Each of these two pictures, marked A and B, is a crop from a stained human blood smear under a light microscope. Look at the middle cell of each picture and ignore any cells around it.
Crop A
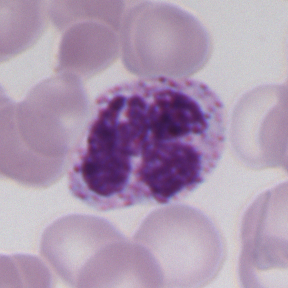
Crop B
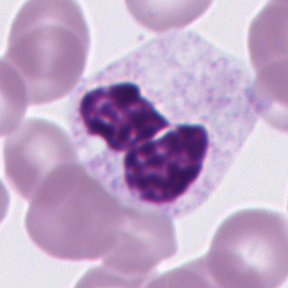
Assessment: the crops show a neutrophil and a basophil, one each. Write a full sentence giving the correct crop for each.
The cell in crop A is a basophil; the cell in crop B is a neutrophil.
